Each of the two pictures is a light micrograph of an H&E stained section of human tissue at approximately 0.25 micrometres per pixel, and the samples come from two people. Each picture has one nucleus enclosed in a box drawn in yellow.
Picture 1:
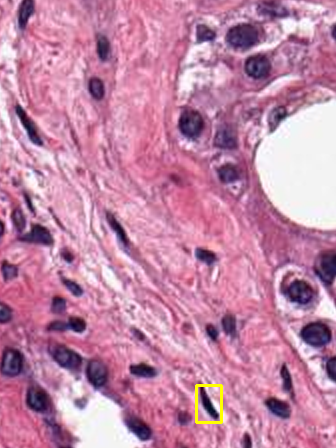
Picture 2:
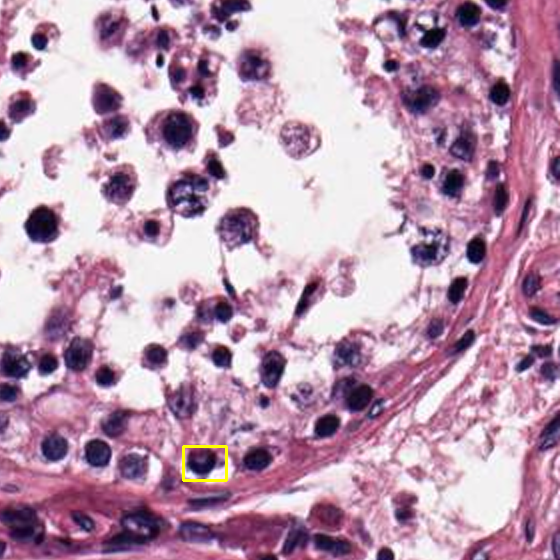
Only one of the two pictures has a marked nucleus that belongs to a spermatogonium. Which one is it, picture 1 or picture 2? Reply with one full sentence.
It is a spermatogonium to which the marked nucleus in picture 2 belongs.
